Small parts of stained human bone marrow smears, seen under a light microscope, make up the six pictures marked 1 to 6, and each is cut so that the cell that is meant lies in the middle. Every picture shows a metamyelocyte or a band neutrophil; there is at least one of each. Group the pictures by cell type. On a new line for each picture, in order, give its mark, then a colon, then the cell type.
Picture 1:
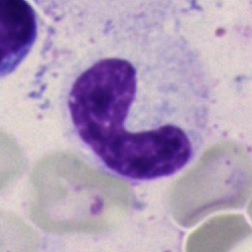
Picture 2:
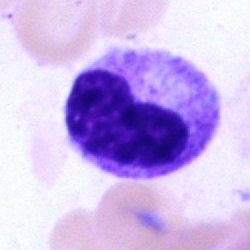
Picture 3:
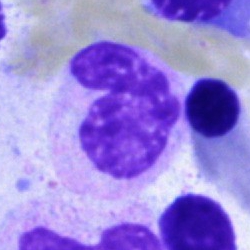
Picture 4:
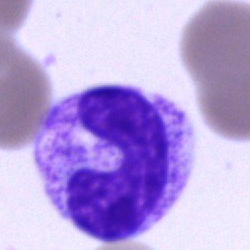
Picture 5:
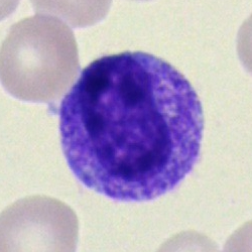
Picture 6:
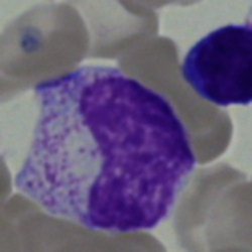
1: band neutrophil
2: metamyelocyte
3: metamyelocyte
4: band neutrophil
5: metamyelocyte
6: metamyelocyte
